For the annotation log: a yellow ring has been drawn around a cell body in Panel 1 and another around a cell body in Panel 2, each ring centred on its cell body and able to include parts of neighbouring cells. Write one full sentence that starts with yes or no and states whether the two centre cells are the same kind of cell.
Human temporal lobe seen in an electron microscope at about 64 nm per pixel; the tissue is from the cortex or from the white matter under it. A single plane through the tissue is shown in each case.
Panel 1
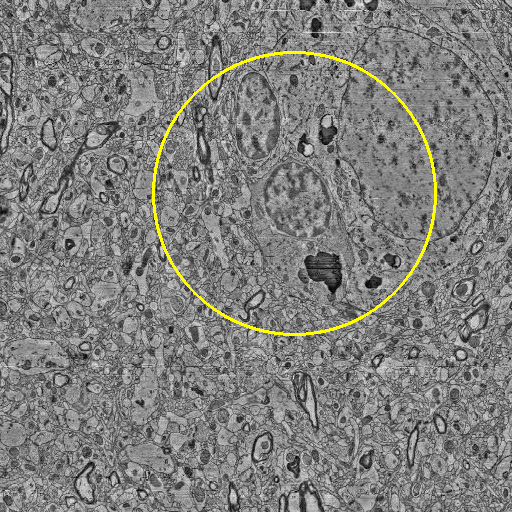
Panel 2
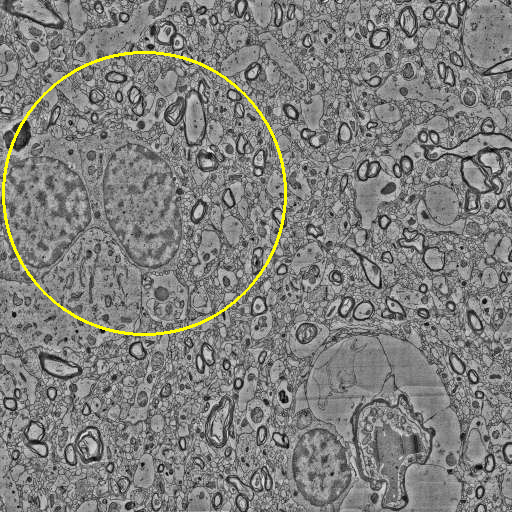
Yes, the two centre cells are the same kind of cell.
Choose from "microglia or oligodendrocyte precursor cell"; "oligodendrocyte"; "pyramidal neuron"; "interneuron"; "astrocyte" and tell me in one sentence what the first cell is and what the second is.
In the first picture and in the second, the ring is centred on an oligodendrocyte.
